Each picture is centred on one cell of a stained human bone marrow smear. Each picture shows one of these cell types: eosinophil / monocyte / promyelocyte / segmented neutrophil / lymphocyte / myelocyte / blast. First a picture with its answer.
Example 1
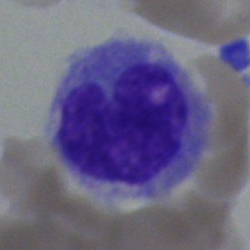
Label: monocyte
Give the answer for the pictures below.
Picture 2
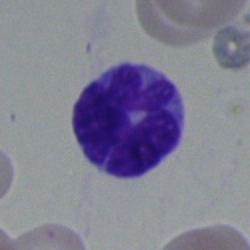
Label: monocyte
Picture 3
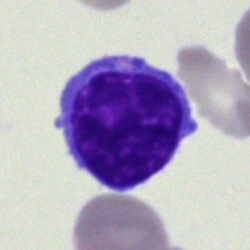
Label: lymphocyte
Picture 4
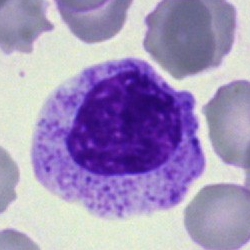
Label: myelocyte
